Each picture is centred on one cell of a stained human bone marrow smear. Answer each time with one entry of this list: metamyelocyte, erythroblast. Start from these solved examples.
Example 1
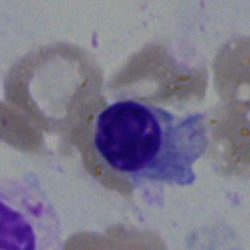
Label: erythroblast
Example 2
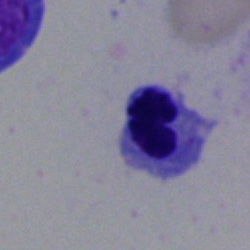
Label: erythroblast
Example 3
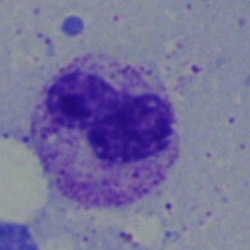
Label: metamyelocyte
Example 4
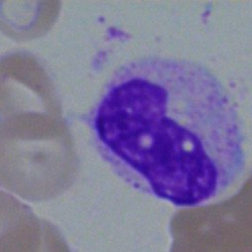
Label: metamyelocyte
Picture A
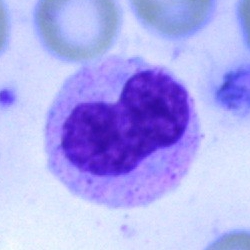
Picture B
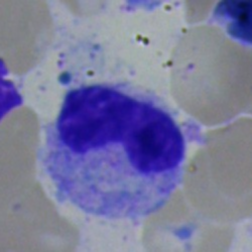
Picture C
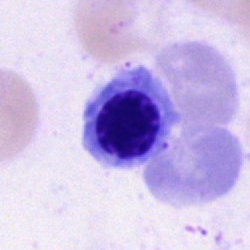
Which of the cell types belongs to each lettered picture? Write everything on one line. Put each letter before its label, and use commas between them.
A metamyelocyte, B metamyelocyte, C erythroblast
